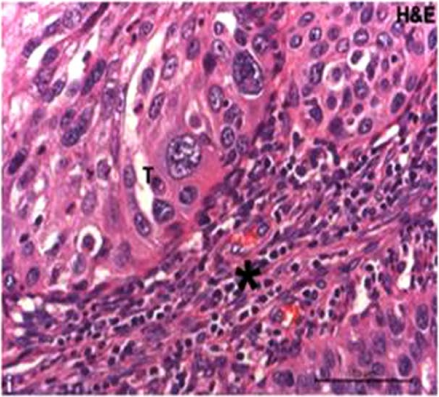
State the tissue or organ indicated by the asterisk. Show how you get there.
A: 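Stroma. The asterisk lies in a band of densely packed small dark nuclei between nests of large pink cells. The cells around the asterisk are small and spindle-shaped or round, unlike the large cells of the nests.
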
